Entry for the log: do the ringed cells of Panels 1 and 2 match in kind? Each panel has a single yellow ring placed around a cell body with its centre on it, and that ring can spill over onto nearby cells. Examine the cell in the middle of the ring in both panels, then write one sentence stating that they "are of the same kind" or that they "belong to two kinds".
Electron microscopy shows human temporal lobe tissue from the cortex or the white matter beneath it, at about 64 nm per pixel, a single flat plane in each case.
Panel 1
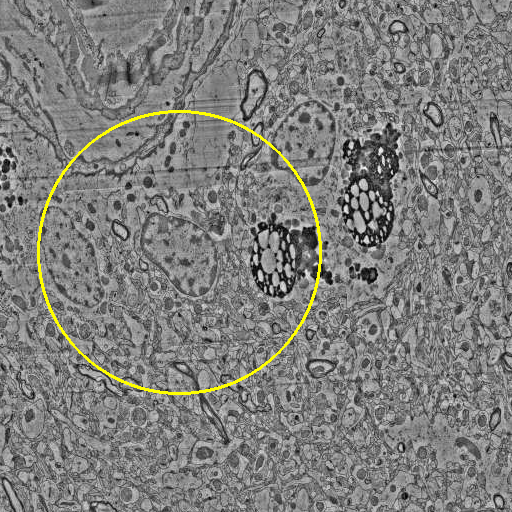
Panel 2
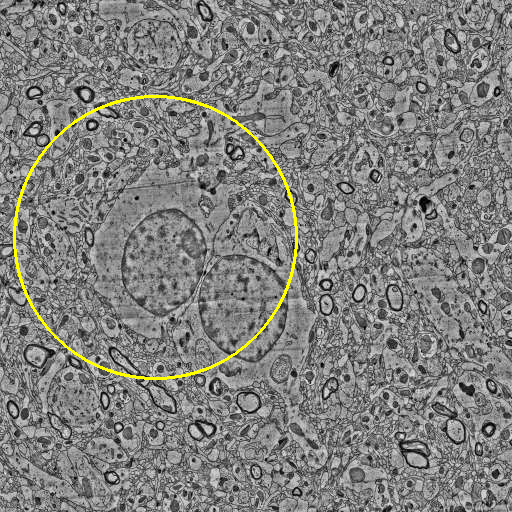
The centre cell of Panel 1's ring and that of Panel 2's ring belong to two kinds.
